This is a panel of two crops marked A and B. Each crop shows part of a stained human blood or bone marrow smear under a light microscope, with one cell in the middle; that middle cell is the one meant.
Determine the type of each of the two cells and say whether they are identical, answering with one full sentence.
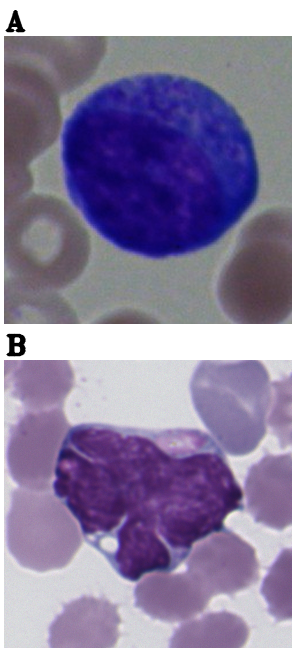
No, for crop A the cell is a promyelocyte, and for crop B it is a monocyte.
